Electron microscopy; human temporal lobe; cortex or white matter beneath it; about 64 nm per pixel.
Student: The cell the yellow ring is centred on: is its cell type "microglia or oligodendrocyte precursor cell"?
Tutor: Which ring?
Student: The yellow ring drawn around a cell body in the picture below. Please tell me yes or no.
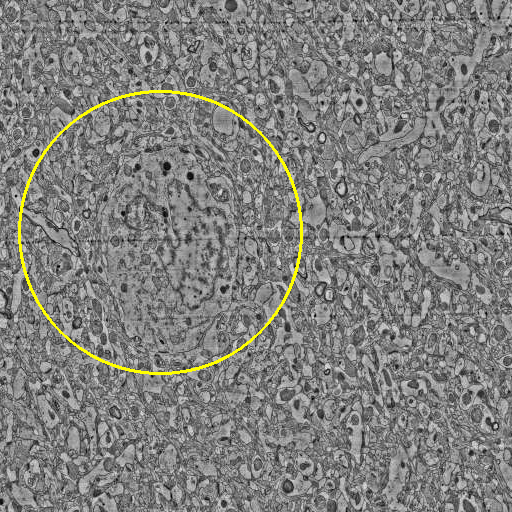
no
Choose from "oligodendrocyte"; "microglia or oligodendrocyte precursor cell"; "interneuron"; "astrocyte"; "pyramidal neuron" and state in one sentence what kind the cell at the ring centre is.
The ringed cell in this picture is, instead, an interneuron.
